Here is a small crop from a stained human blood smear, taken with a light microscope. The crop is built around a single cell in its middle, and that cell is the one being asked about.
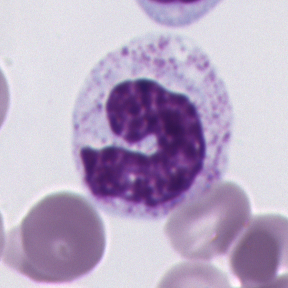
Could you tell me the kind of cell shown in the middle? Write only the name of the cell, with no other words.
band neutrophil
